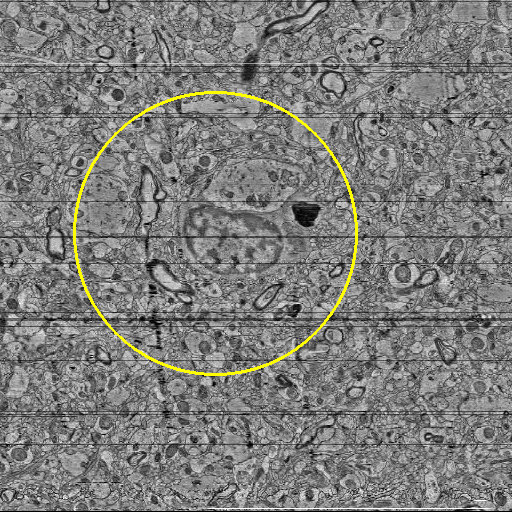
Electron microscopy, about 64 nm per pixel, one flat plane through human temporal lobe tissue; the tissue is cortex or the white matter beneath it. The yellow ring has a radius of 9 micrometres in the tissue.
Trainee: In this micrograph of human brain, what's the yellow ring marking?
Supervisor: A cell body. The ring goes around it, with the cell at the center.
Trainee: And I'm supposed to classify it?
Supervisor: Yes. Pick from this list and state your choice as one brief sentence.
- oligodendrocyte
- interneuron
The cell at the ring's center is an oligodendrocyte.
